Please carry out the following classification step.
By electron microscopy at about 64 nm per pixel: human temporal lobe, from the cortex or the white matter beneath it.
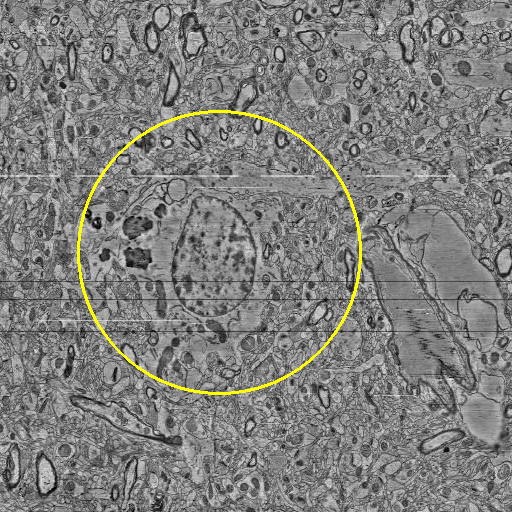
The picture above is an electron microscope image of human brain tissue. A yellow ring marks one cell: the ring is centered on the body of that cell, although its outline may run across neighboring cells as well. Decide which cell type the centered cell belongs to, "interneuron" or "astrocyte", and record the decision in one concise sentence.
The cell centered in the yellow ring is an astrocyte.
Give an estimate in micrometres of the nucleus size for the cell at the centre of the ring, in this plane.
In this plane, approximately 8 by 5 micrometers.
